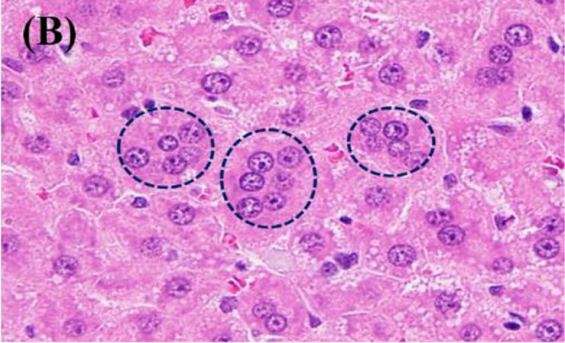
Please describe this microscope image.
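Liver with plates of large polygonal hepatocytes having pink, finely vacuolated cytoplasm and round central nuclei with distinct nucleoli. Between the plates run narrow sinusoids with small dark elongated nuclei and scattered red blood cells.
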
